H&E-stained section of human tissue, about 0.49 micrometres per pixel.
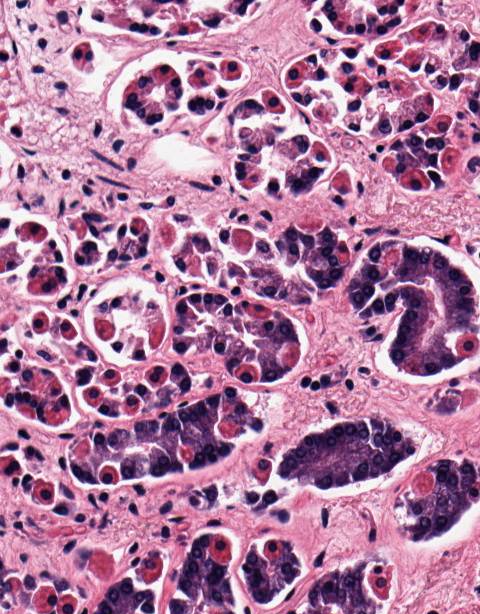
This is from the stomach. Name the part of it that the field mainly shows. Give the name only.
fundic glands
